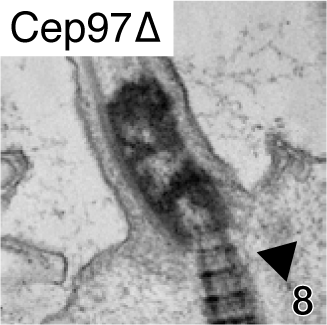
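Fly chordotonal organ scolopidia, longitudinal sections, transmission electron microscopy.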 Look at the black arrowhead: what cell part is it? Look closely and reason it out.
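Rootlets. A long, regularly cross-striated fibrous band extends from the dense cylindrical structure. The arrowhead points at the striated band.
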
